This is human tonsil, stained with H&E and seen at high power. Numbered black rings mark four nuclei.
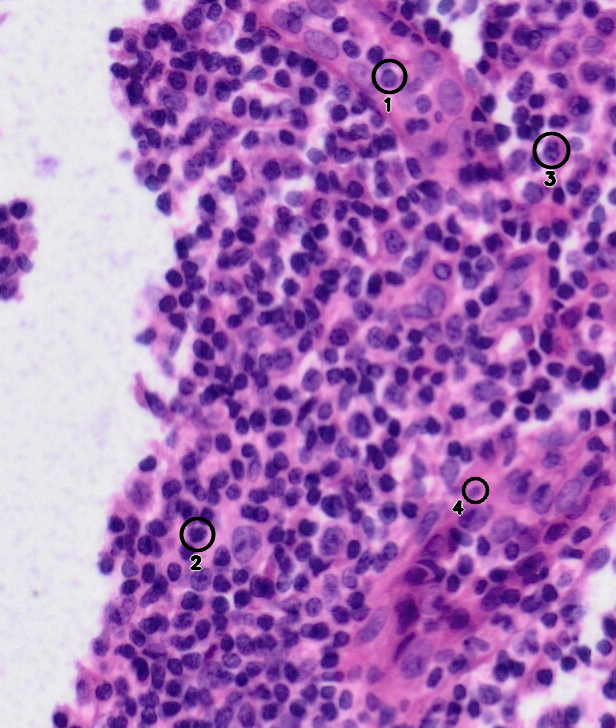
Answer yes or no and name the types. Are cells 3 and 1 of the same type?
No, cell 3 is to be identified as a plasma cell and cell 1 as an endothelial cell.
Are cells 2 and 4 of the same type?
No, cell 2 is a small lymphocyte, while cell 4 is an endothelial cell.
